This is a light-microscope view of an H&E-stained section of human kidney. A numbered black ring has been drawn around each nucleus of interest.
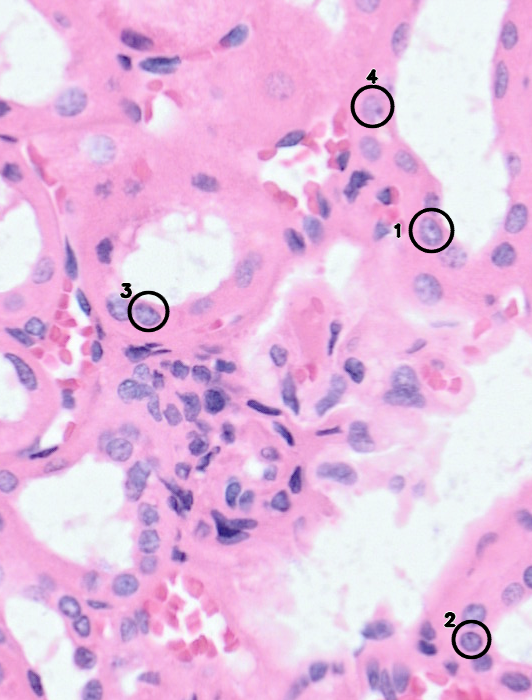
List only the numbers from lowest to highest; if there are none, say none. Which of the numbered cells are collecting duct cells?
2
